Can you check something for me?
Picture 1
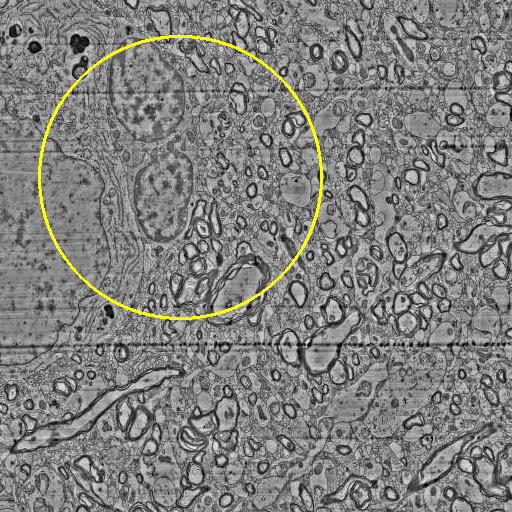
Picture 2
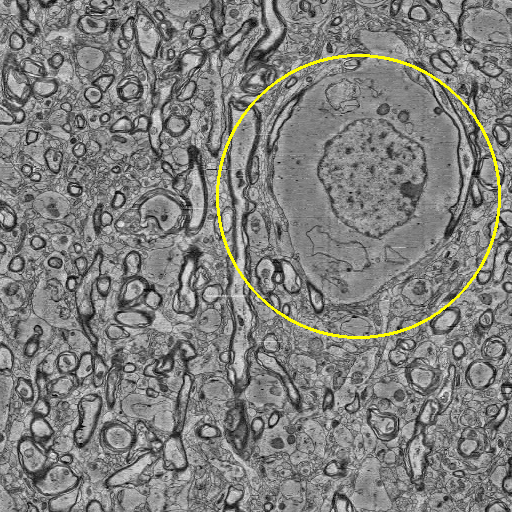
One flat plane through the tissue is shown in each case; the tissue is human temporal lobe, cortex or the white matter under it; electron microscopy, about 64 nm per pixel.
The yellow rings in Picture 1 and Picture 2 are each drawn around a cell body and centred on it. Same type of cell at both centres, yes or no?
no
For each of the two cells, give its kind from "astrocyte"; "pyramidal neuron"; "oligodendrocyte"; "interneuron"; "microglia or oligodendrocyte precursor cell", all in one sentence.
The first picture has an oligodendrocyte in its ring, the second has an astrocyte.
